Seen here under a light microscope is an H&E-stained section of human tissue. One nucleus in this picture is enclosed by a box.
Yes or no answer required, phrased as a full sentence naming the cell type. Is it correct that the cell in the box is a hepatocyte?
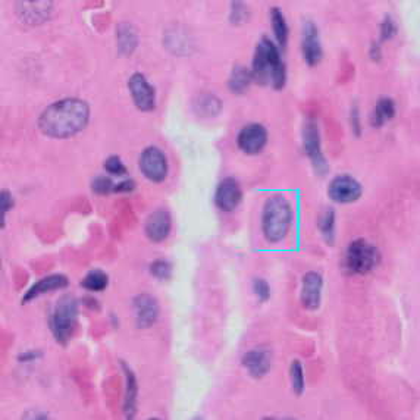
No, mate, the cell in the box is a loop of Henle or distal tubule cell rather than a hepatocyte.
